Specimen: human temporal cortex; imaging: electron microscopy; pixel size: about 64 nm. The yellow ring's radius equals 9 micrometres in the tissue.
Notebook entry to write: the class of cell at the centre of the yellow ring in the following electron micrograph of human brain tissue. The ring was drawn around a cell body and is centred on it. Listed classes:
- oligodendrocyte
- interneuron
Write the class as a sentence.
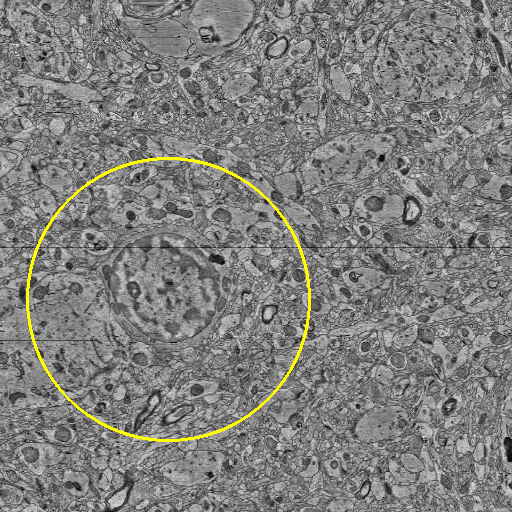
The yellow ring sits on an oligodendrocyte.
